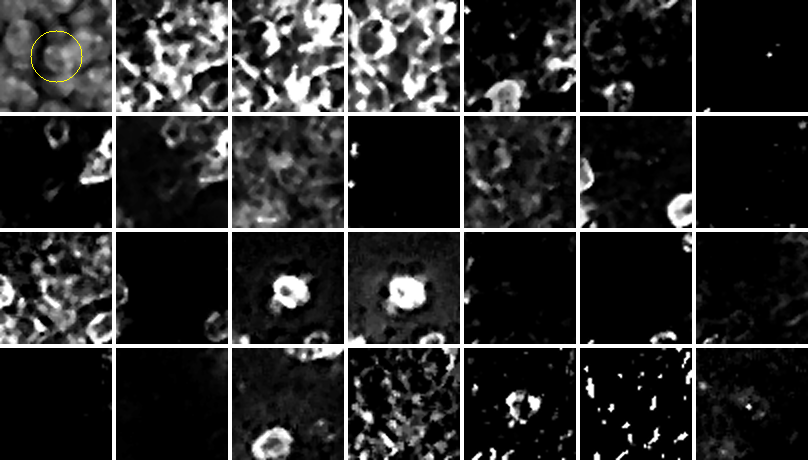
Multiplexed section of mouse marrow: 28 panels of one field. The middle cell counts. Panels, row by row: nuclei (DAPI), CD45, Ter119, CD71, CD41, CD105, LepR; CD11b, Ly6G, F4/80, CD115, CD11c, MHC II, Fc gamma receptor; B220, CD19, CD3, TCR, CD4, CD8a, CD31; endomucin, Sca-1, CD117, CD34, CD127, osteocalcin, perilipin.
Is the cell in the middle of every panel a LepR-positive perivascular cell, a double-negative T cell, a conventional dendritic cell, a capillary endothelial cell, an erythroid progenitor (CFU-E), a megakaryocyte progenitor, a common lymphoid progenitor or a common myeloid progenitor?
It is a double-negative T cell.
